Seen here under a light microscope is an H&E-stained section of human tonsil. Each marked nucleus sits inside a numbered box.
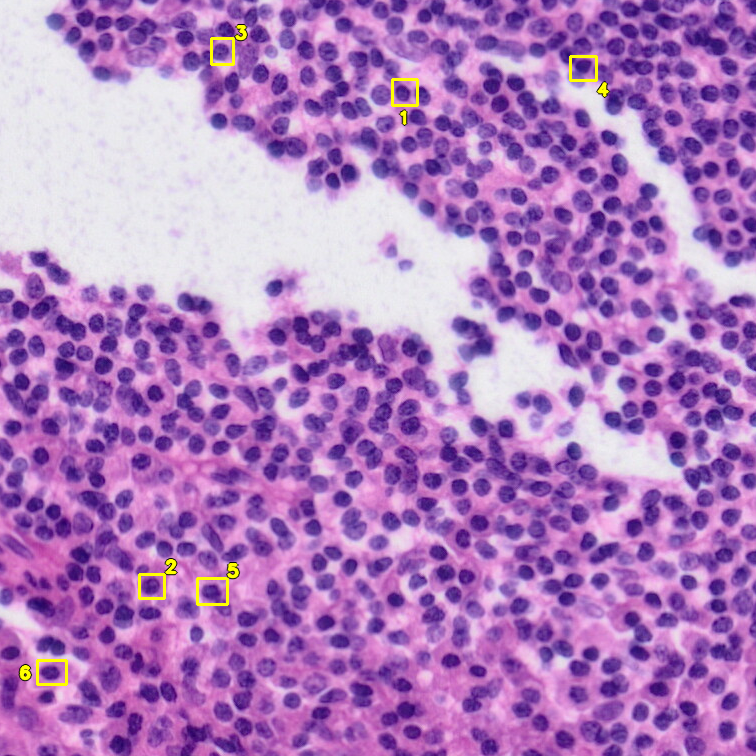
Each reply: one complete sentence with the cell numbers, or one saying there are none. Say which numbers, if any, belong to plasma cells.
The cells shown with numbers 2, 5 and 6 are plasma cells.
